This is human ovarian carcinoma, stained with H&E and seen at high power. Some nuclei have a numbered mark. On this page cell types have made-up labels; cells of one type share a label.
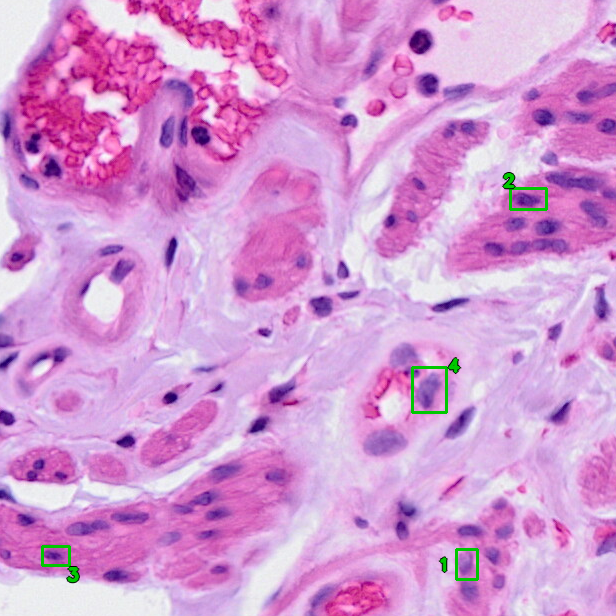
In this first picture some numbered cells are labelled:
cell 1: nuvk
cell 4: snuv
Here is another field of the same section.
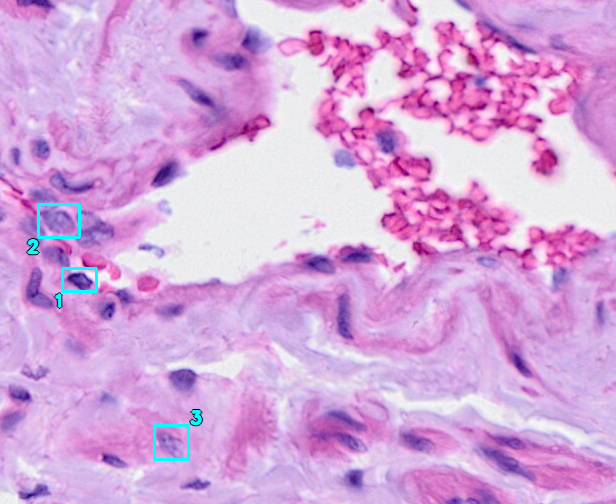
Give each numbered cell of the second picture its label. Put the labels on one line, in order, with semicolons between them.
snuv; snuv; nuvk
